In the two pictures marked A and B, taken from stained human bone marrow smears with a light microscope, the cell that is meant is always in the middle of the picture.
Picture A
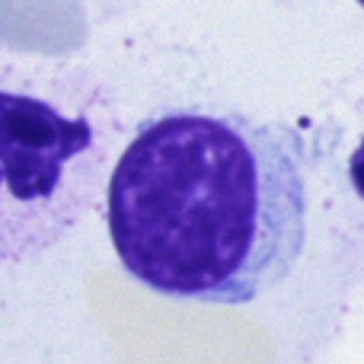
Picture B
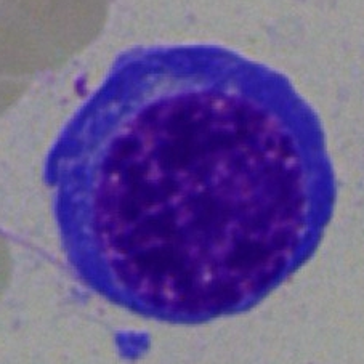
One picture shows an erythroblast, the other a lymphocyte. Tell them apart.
A: lymphocyte
B: erythroblast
